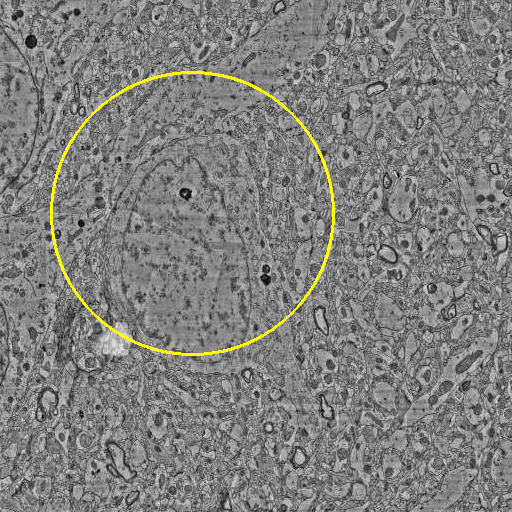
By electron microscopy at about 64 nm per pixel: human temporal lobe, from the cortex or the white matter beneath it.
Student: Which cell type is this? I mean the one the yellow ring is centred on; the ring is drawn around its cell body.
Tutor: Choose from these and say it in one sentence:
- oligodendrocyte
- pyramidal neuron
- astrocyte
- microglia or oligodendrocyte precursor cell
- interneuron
The cell the ring is centred on is an interneuron.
